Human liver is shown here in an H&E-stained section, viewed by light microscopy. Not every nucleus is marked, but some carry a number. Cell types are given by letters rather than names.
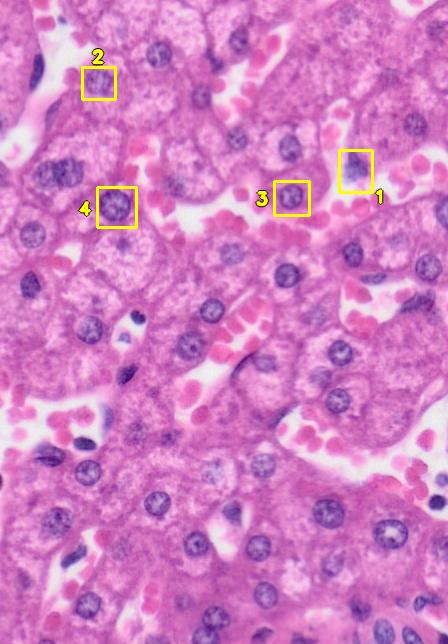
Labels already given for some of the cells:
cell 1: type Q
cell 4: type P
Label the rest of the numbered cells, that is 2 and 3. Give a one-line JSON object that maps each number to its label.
{"2": "type P", "3": "type P"}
